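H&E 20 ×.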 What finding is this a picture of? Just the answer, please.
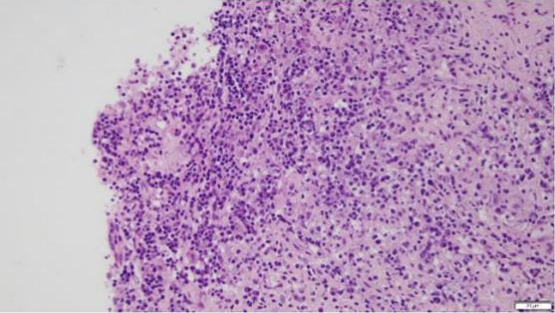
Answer: Lymphocytic infiltrate.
